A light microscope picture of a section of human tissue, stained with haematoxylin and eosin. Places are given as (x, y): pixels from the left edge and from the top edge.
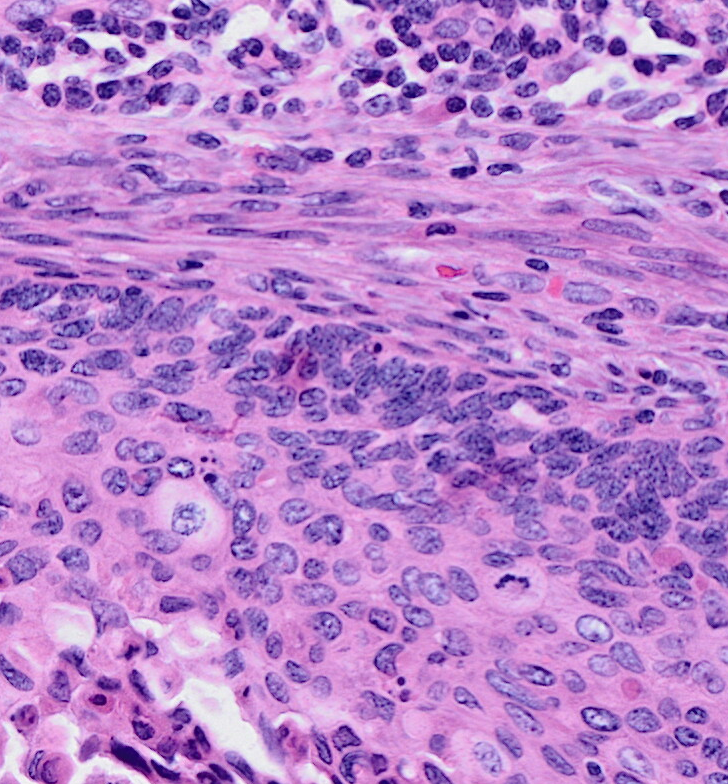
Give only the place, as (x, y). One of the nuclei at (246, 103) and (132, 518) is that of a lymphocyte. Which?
(246, 103)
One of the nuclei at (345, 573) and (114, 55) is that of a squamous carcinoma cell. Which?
(345, 573)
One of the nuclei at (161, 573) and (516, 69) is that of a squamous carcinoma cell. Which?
(161, 573)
